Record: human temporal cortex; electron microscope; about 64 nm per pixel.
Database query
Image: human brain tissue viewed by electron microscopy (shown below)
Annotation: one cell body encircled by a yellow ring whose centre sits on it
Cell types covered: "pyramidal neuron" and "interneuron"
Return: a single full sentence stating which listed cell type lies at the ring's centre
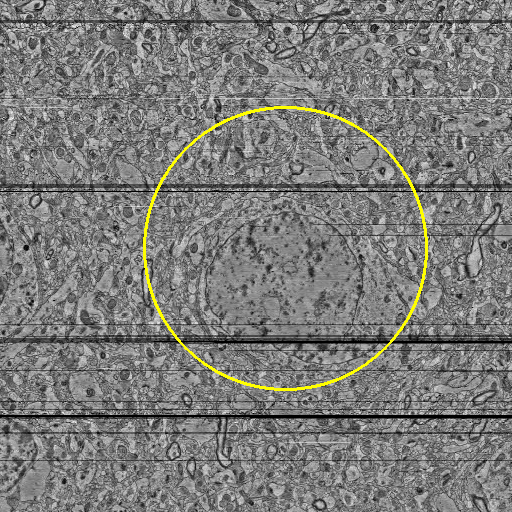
In the image, the cell lying at the ring's centre is a pyramidal neuron.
